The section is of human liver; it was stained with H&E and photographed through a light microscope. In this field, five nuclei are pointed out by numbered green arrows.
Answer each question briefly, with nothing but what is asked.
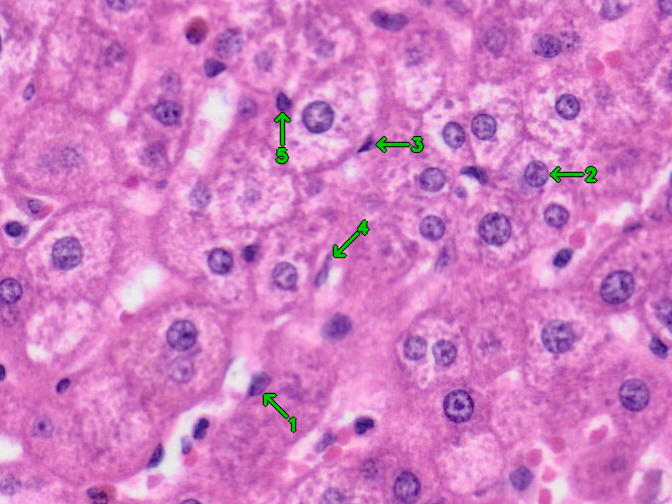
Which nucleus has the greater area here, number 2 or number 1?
2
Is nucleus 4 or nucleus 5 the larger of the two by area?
4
